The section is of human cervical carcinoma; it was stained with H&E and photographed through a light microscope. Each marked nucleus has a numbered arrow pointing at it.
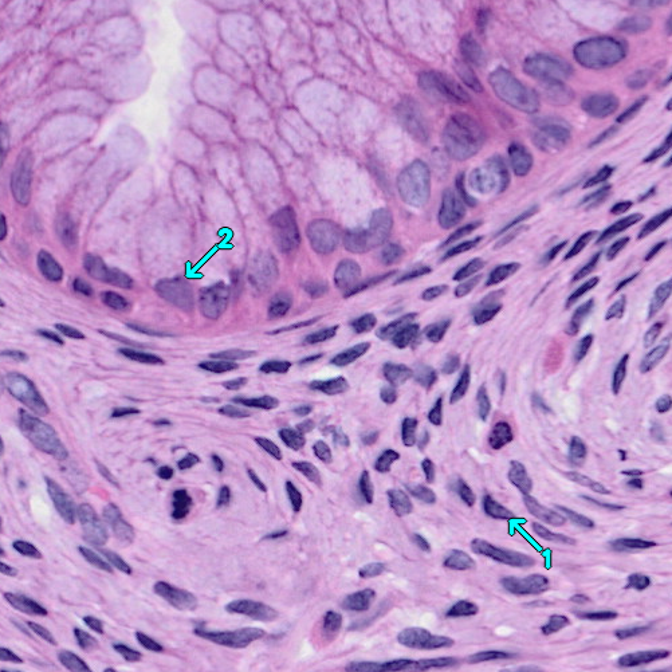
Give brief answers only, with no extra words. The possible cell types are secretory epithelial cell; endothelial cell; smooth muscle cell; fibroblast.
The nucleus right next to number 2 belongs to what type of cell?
secretory epithelial cell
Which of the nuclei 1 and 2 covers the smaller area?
1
